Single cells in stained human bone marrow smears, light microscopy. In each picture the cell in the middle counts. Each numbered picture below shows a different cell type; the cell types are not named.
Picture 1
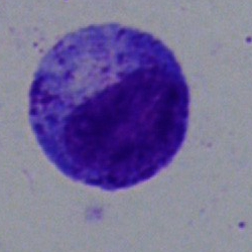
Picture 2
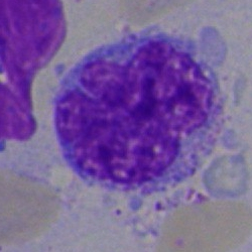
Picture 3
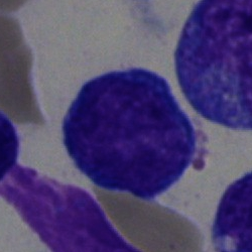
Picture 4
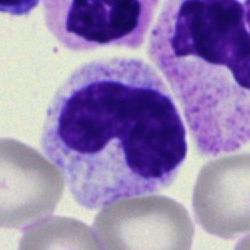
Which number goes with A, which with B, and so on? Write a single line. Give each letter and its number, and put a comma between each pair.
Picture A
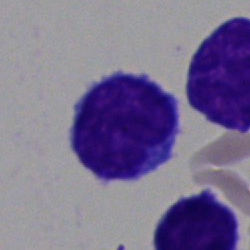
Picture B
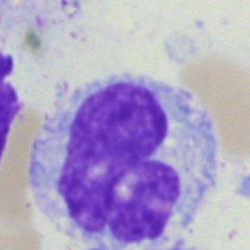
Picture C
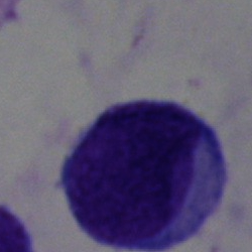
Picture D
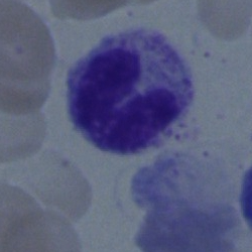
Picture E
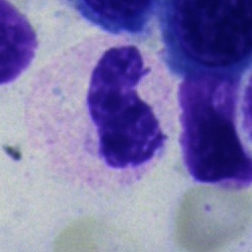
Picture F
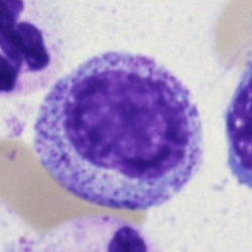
A 3, B 2, C 3, D 4, E 4, F 1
